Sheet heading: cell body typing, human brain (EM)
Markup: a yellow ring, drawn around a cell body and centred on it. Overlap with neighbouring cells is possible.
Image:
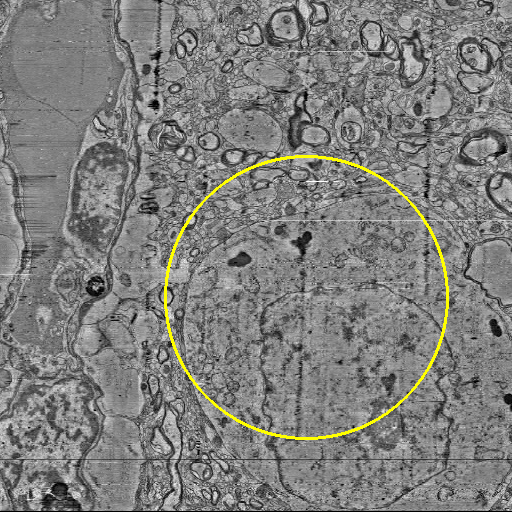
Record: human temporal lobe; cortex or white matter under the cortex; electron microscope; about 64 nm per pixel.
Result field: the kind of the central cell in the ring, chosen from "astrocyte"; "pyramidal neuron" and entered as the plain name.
pyramidal neuron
